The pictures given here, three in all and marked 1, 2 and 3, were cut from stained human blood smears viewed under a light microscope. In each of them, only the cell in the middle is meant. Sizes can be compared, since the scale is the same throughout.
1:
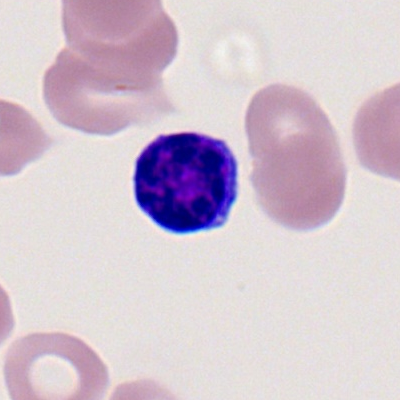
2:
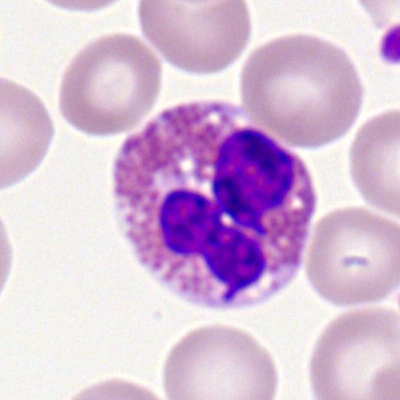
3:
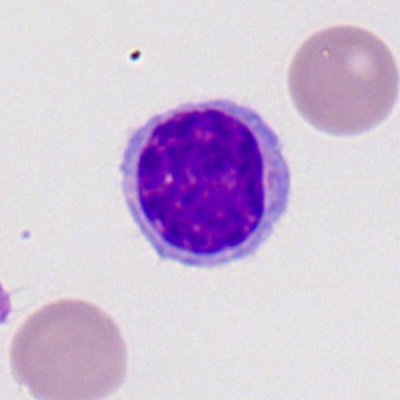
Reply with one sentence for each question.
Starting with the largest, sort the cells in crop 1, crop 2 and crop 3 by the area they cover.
From the largest down, the order is 2, 3, 1.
